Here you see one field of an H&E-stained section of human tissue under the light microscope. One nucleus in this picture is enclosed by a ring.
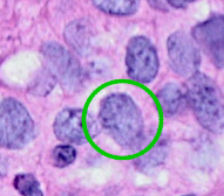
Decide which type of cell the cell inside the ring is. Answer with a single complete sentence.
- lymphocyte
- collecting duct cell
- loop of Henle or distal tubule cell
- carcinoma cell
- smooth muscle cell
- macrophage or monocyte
On this particular slide, the cell inside the ring is a carcinoma cell.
